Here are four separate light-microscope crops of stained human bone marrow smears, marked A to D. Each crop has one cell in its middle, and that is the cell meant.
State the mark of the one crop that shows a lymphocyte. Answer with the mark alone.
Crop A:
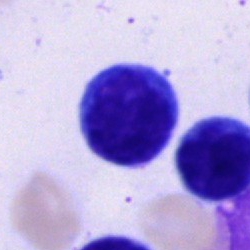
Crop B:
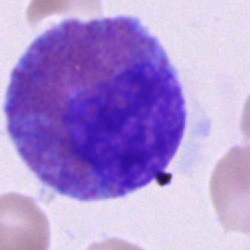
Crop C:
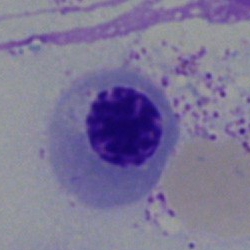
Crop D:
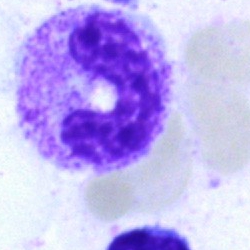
A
